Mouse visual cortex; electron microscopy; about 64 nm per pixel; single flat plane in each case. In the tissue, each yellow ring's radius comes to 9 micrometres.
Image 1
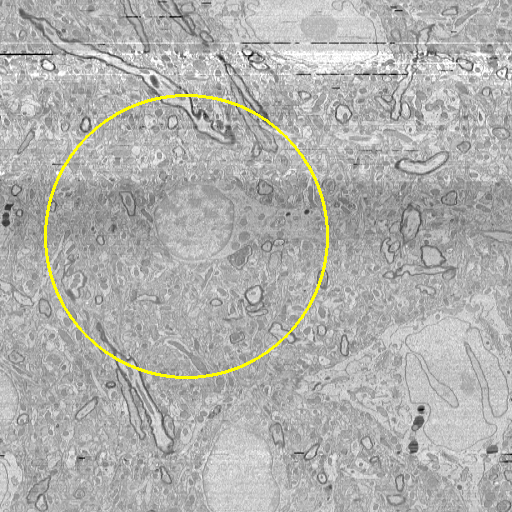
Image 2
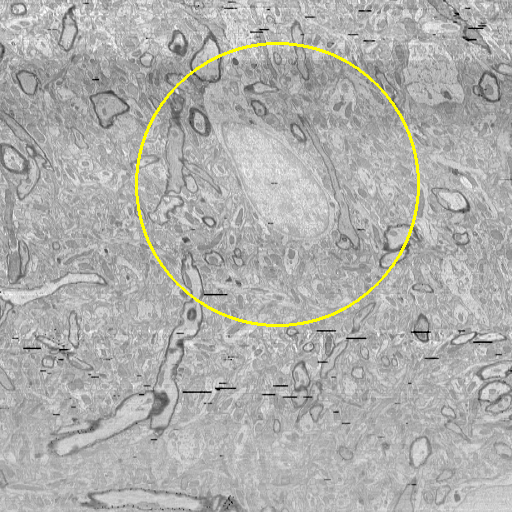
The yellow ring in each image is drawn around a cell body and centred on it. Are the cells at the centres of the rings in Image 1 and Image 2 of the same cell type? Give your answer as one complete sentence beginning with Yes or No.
Yes, both cells are of the same type.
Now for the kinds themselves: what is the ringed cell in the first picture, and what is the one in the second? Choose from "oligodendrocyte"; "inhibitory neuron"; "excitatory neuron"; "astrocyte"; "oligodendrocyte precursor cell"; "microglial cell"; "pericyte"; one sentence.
In both pictures the ring is centred on an oligodendrocyte.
